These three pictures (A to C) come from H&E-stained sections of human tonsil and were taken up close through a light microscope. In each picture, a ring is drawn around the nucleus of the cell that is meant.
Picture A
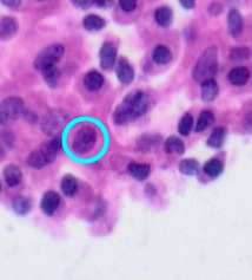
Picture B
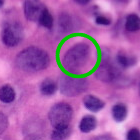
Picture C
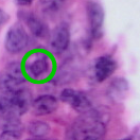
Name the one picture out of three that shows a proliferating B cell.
C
